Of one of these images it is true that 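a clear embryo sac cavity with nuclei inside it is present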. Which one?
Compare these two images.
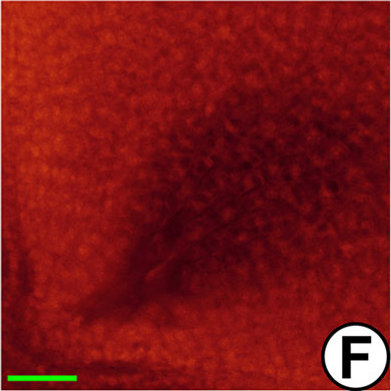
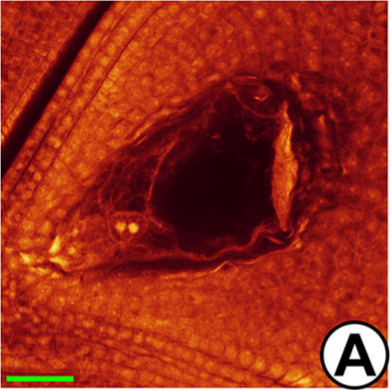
the second image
